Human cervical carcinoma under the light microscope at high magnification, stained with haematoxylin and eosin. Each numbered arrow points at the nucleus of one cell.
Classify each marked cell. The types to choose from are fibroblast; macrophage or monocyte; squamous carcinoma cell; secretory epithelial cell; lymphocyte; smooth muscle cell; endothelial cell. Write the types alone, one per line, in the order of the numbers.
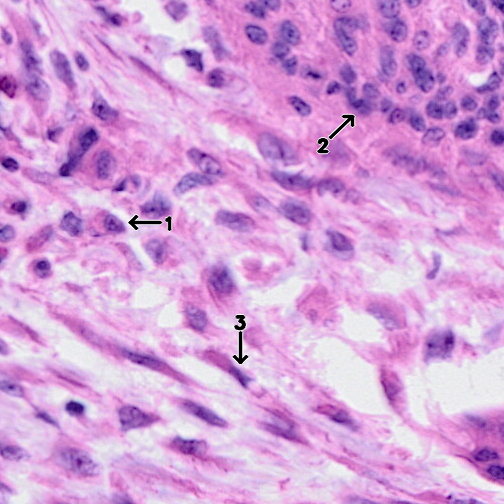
macrophage or monocyte
squamous carcinoma cell
fibroblast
